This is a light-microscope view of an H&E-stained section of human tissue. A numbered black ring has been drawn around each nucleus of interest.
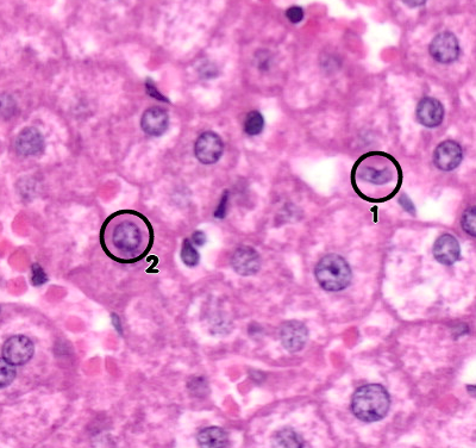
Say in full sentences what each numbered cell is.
Cell 1 is a Kupffer cell. Cell 2 is a hepatocyte.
